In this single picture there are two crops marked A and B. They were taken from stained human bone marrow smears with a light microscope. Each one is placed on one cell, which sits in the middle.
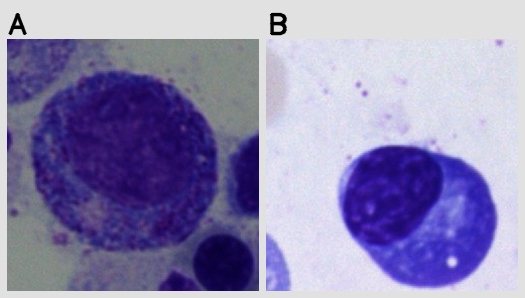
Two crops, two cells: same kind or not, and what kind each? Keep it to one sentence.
No, a promyelocyte is in crop A, while a plasma cell is in crop B.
